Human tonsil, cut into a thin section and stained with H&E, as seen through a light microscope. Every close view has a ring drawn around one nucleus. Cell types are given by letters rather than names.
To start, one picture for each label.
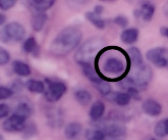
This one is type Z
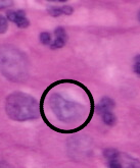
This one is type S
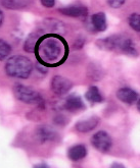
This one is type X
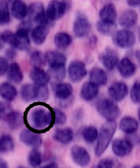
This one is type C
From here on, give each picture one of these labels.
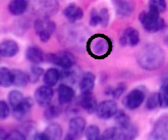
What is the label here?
type Z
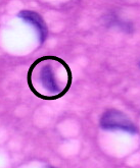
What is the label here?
type S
